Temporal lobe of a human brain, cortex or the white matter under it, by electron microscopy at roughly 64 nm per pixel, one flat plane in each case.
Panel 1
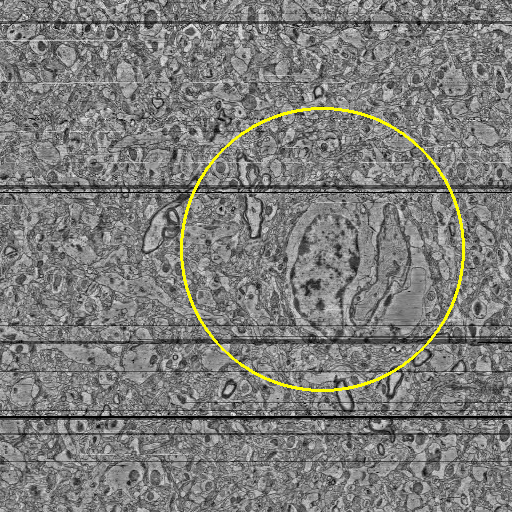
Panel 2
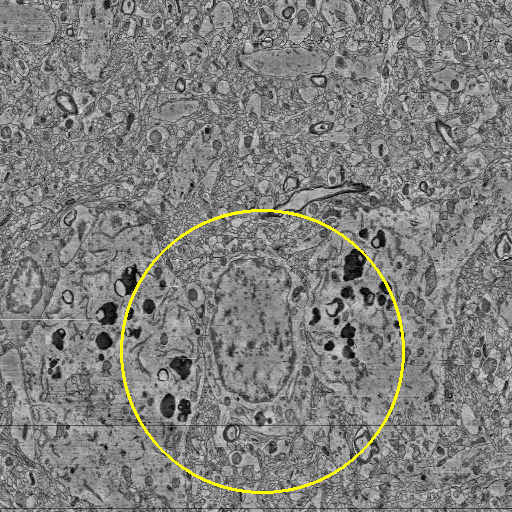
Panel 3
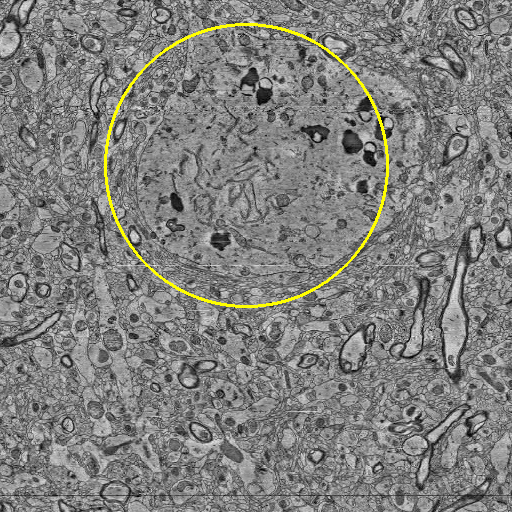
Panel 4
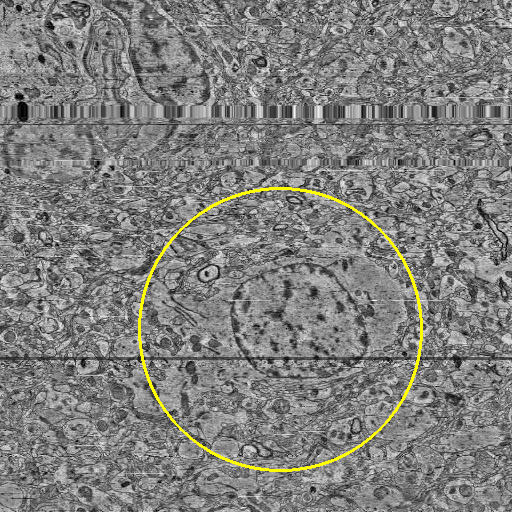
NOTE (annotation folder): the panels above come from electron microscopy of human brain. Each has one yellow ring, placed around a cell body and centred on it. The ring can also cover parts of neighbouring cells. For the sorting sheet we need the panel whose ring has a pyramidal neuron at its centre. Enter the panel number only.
3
